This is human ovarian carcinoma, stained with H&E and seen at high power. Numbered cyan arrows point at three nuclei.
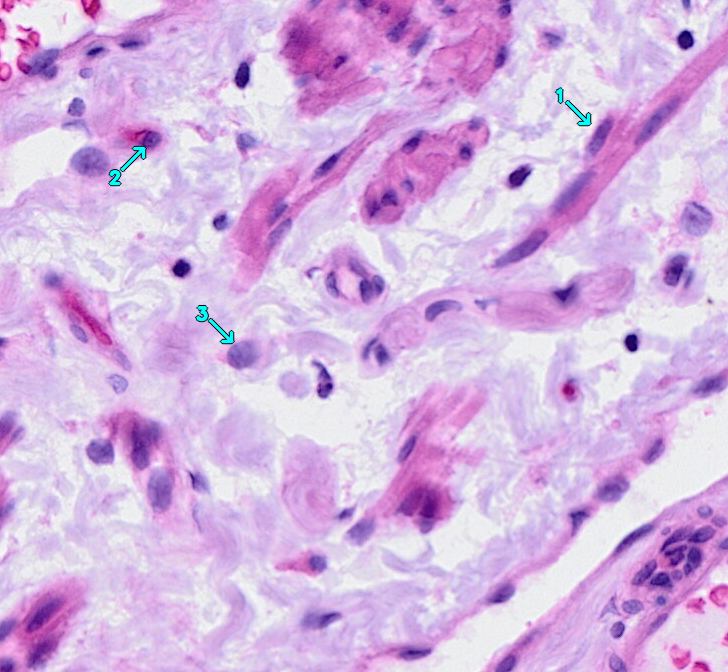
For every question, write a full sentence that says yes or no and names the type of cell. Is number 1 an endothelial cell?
No, with respect, cell 1 is a smooth muscle cell rather than an endothelial cell.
